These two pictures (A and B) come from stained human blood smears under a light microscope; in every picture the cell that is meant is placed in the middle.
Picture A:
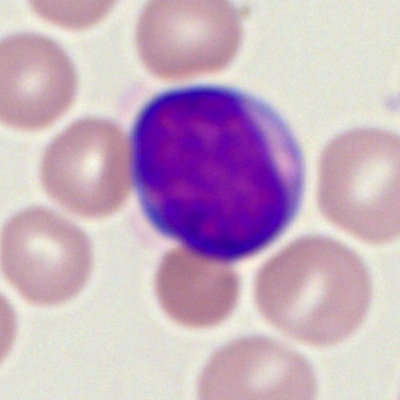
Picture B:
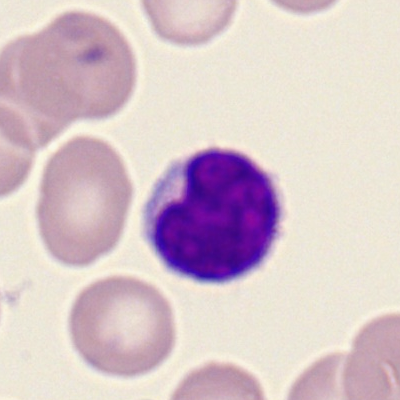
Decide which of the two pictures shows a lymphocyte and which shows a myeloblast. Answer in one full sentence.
Picture A shows a myeloblast and picture B shows a lymphocyte.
